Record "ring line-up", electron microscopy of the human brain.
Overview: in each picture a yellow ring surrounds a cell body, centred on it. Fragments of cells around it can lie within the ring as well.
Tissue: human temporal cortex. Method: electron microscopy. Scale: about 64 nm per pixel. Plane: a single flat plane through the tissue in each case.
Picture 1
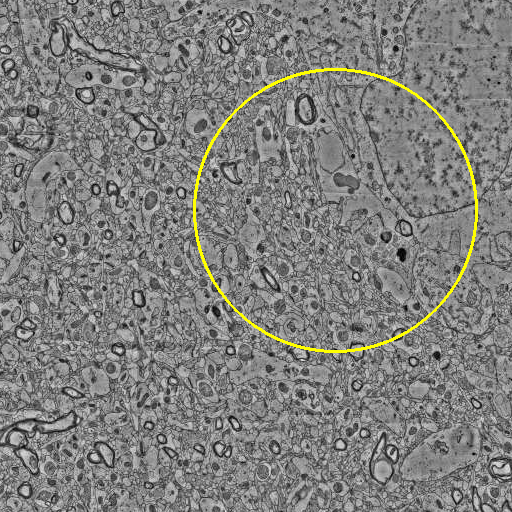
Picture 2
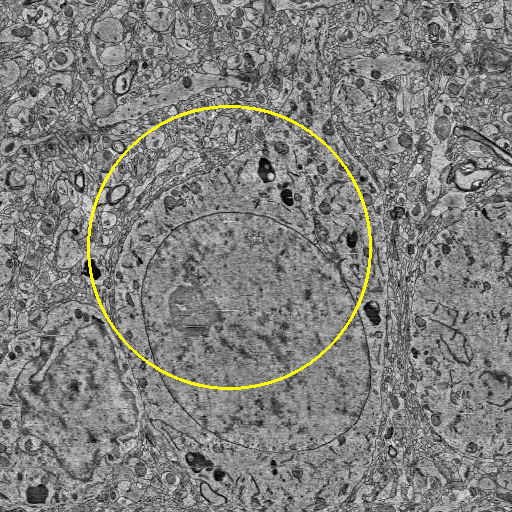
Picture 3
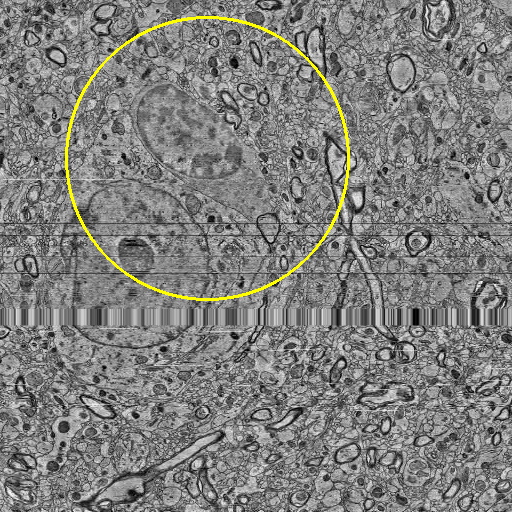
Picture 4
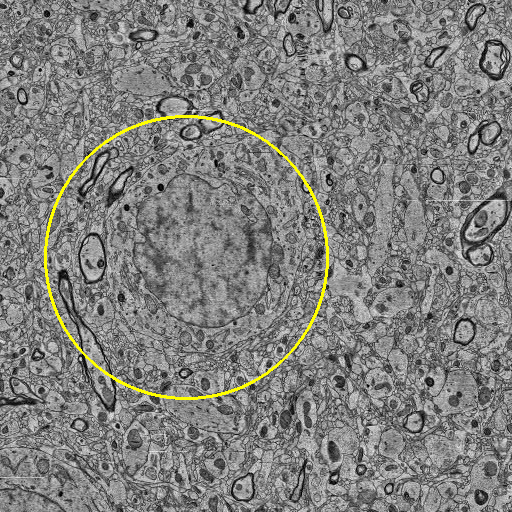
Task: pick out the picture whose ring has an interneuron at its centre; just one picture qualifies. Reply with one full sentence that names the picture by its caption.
Going by the cell at the ring's centre, the right choice is Picture 4.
